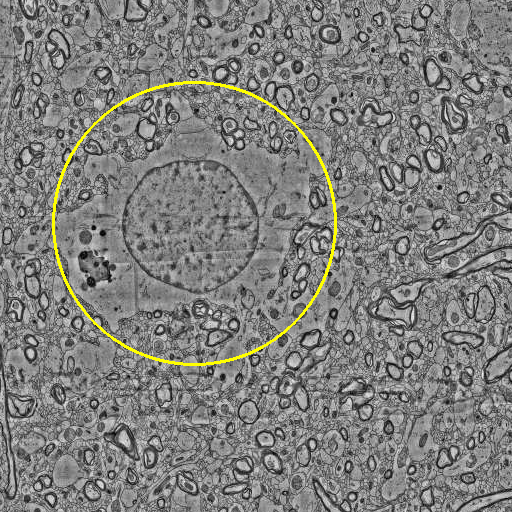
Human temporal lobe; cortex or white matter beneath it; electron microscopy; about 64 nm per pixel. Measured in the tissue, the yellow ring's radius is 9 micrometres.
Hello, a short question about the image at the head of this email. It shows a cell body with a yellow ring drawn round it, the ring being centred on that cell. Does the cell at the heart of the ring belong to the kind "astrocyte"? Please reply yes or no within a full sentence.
Yes, the cell at the heart of the ring in that image is of that kind.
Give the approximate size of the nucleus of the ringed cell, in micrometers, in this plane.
In this plane, the nucleus of the cell at the centre of the ring is about 8 micrometres across.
